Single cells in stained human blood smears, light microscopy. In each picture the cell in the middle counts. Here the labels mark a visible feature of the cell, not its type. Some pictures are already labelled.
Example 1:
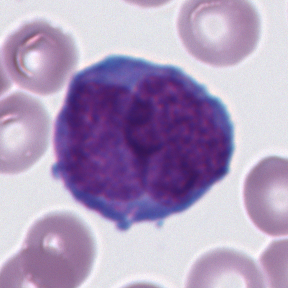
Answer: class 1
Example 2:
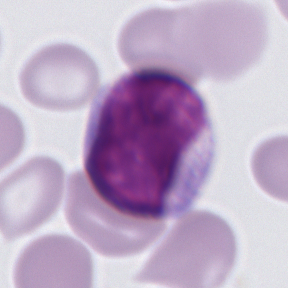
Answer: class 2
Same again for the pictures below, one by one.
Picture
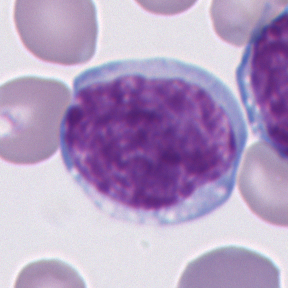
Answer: class 2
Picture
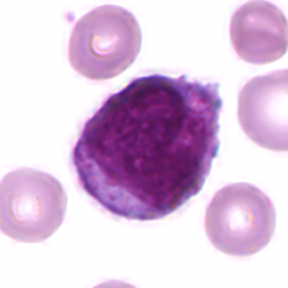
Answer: class 1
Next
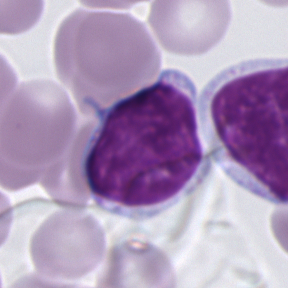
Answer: class 1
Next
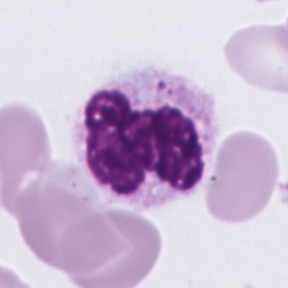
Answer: class 1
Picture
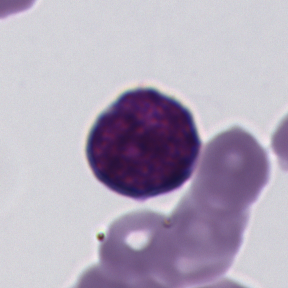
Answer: class 2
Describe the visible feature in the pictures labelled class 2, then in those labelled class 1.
class 2: smooth outline; class 1: ragged outline or projections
